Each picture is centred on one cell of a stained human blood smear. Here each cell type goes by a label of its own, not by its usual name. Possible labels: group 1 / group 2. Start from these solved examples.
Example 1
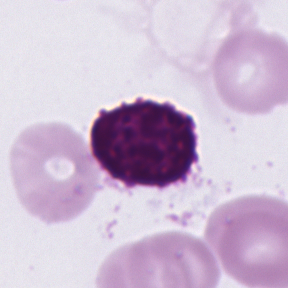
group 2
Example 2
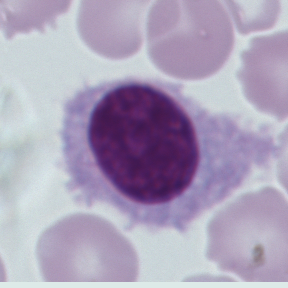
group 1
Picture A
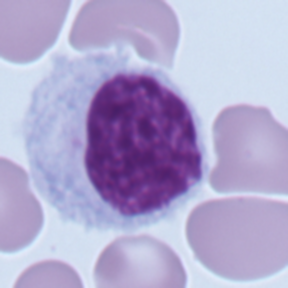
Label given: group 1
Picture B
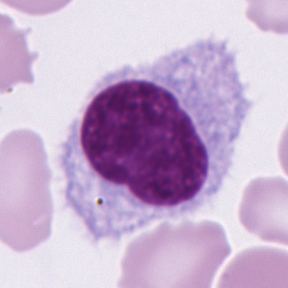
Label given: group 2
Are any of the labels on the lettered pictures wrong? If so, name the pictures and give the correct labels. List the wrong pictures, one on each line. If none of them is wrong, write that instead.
B: group 1, not group 2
